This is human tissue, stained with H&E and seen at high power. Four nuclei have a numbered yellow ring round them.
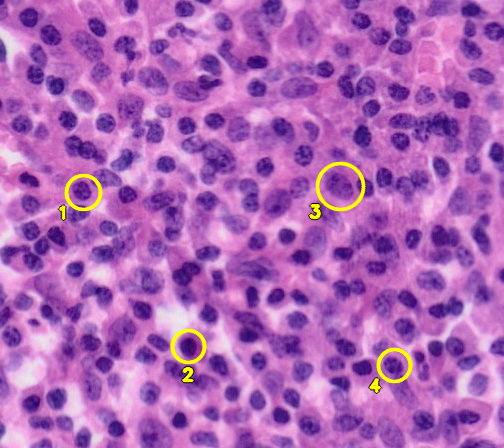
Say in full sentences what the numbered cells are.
Cells 1, 2 and 4 are plasma cells. Cell 3 is a squamous epithelial cell.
